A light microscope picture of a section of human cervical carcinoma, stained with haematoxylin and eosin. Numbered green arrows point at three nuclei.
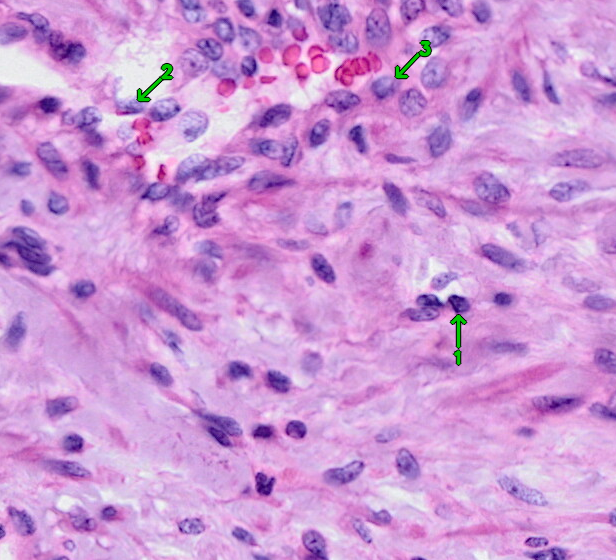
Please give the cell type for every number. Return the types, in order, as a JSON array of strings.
["lymphocyte", "endothelial cell", "endothelial cell"]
